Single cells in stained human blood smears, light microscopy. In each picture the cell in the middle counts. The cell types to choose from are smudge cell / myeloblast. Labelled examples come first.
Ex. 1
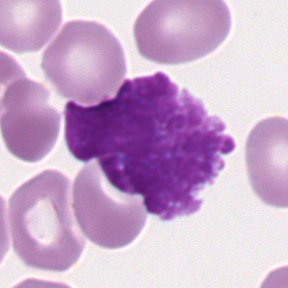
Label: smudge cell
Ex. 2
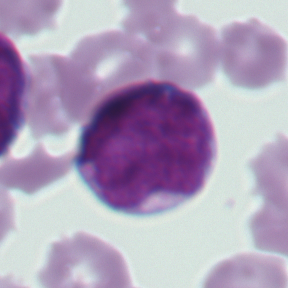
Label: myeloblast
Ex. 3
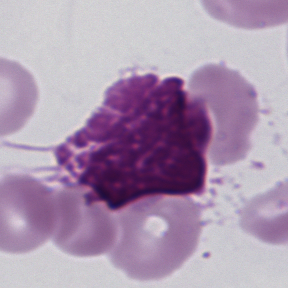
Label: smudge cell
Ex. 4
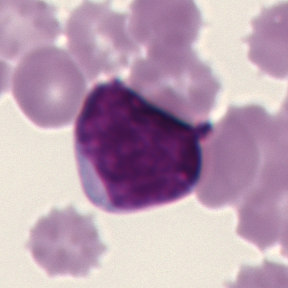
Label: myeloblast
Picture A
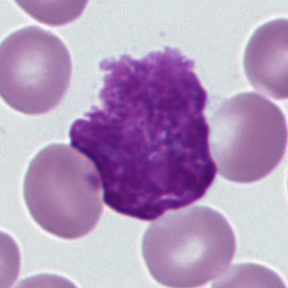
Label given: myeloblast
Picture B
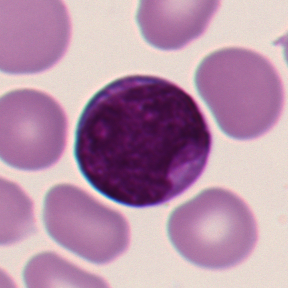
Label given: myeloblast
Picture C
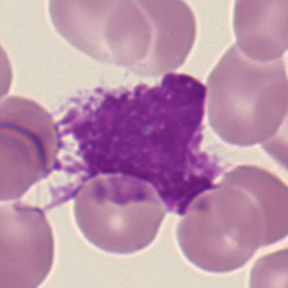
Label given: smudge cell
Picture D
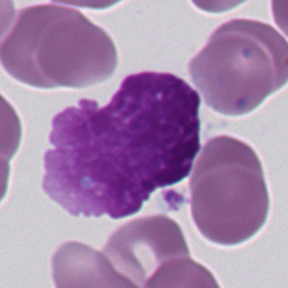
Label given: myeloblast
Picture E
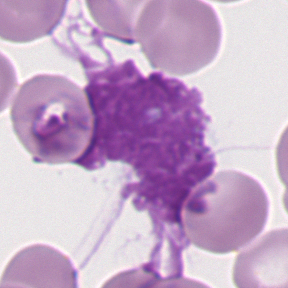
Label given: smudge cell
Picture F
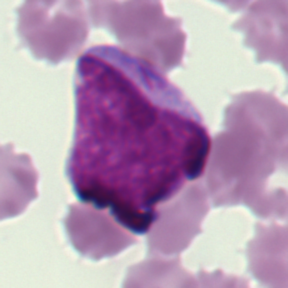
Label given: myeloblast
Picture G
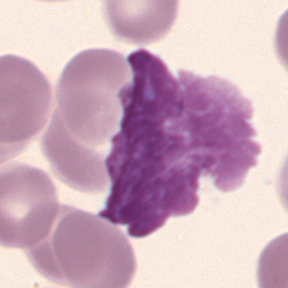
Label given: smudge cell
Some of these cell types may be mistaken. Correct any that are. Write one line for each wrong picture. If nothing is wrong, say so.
A is labelled myeloblast; correct label: smudge cell
D is labelled myeloblast; correct label: smudge cell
